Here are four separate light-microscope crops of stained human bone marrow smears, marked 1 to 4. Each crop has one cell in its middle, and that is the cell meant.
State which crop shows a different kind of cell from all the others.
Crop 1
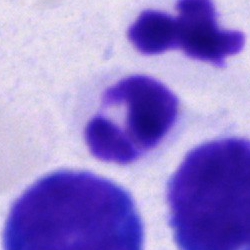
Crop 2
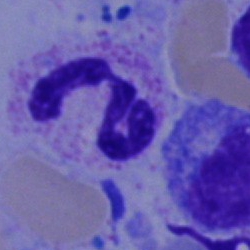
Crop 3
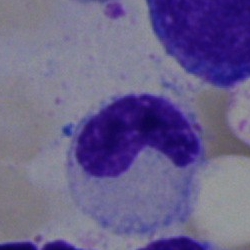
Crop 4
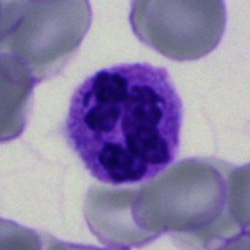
3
